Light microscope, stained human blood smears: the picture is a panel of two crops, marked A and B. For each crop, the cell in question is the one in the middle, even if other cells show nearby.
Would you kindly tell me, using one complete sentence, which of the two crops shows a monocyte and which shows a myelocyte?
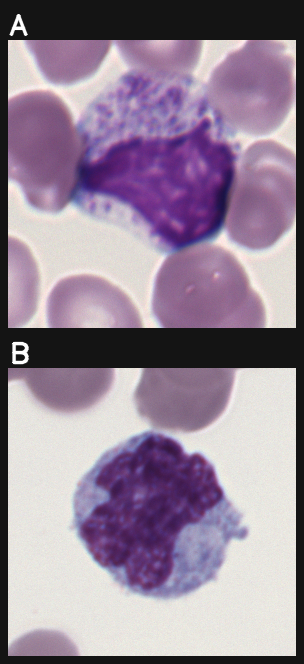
Shown in crop A is a myelocyte, and shown in crop B is a monocyte.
